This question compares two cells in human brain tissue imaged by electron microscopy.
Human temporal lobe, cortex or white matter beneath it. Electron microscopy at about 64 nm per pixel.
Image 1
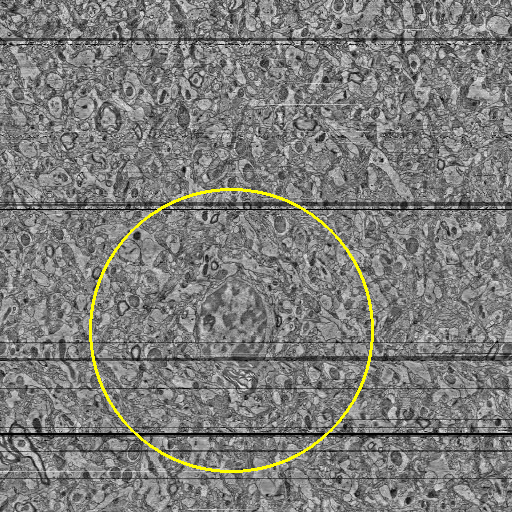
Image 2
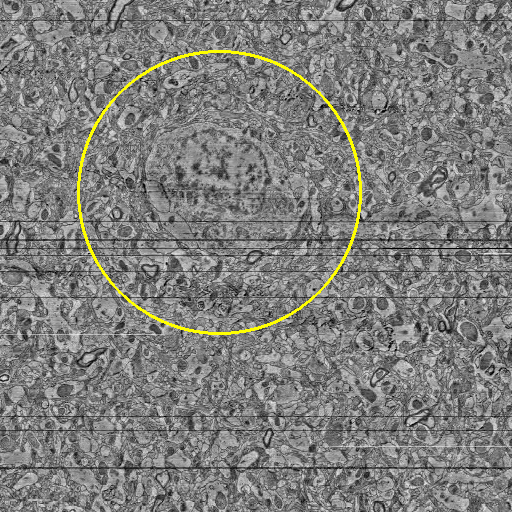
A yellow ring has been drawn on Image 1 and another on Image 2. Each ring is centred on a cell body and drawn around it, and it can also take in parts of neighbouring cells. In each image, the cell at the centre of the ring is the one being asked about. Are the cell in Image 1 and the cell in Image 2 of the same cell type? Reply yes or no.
no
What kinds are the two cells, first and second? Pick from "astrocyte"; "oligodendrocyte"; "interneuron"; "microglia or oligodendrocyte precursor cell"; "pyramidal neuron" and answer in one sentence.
The second picture holds an interneuron in its ring, and the first holds an oligodendrocyte.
